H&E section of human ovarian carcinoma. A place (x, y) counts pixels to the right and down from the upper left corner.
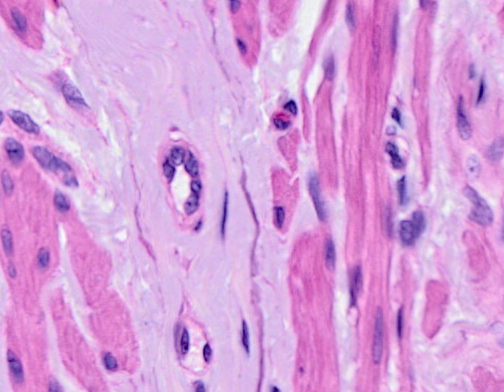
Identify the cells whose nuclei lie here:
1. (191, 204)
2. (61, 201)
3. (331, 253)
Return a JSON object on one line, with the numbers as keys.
{"1": "endothelial cell", "2": "smooth muscle cell", "3": "smooth muscle cell"}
